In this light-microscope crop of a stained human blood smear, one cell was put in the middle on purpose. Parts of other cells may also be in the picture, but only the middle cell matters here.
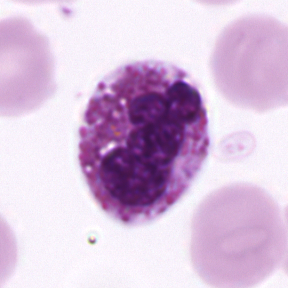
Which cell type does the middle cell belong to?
eosinophil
